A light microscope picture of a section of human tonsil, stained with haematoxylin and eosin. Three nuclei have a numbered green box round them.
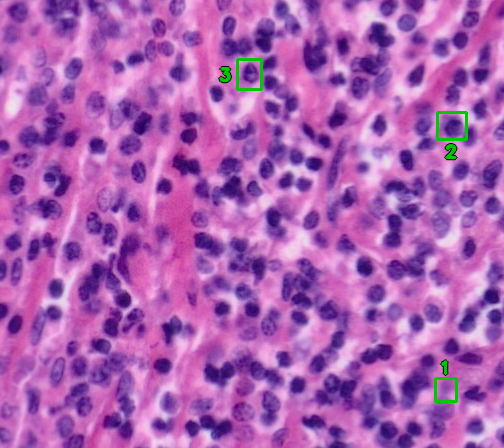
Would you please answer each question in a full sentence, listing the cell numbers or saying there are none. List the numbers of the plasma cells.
In this set of numbered cells, only cell 3 is a plasma cell.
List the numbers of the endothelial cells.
It is only cell 1 that is an endothelial cell among the numbered cells.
